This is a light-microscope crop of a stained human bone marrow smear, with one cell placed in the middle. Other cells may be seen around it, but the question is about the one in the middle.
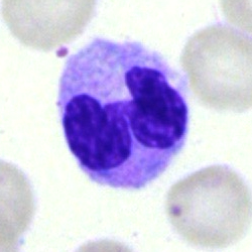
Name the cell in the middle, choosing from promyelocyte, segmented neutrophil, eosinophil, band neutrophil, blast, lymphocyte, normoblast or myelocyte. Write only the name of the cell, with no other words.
segmented neutrophil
